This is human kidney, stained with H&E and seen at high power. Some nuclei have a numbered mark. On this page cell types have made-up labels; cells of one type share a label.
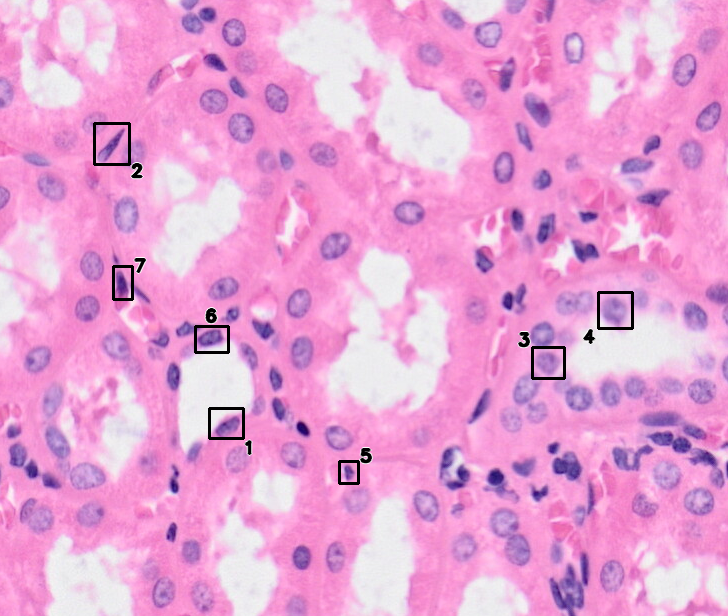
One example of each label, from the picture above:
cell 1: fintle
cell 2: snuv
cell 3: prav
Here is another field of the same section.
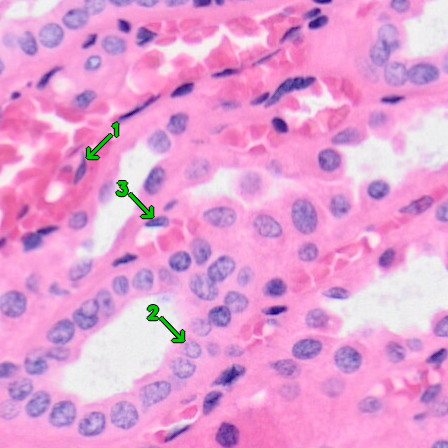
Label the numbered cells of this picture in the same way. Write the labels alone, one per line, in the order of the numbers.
snuv
prav
snuv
